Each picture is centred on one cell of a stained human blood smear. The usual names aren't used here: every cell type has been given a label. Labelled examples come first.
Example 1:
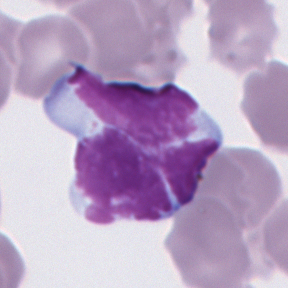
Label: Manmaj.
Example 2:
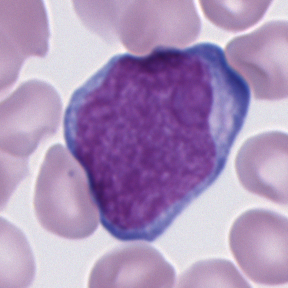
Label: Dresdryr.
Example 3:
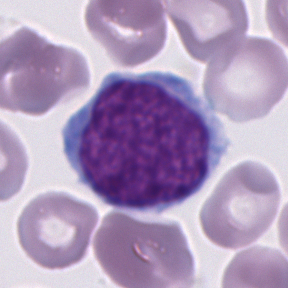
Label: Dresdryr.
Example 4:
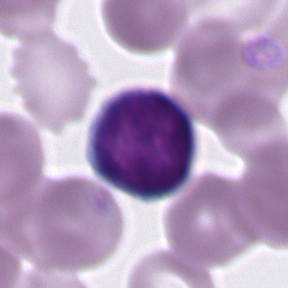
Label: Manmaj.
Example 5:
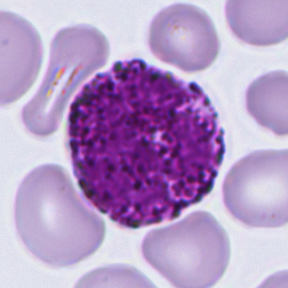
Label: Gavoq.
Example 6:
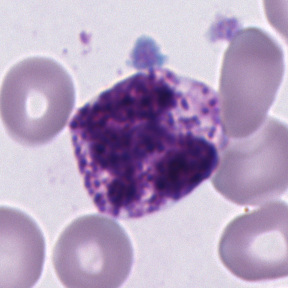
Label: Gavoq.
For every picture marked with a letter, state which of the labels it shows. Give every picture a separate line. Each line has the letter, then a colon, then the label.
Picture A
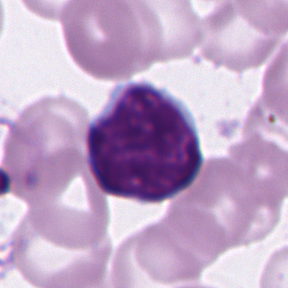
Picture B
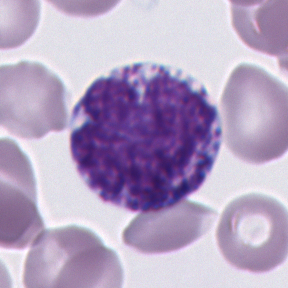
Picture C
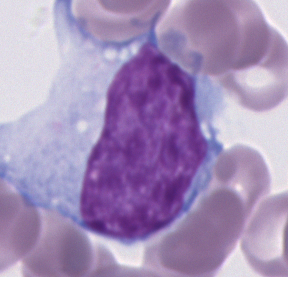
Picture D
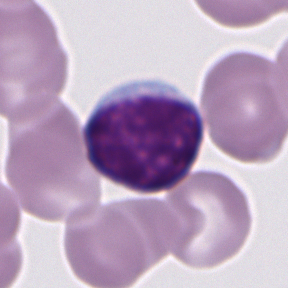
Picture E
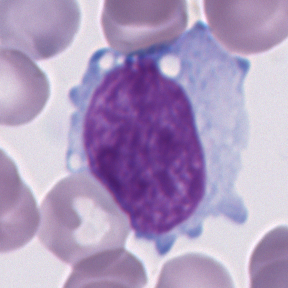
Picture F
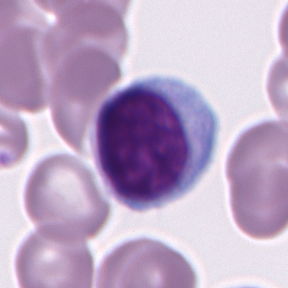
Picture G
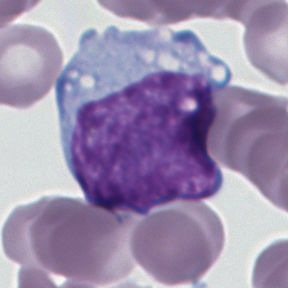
A: Manmaj.
B: Gavoq.
C: Dresdryr.
D: Manmaj.
E: Dresdryr.
F: Manmaj.
G: Dresdryr.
